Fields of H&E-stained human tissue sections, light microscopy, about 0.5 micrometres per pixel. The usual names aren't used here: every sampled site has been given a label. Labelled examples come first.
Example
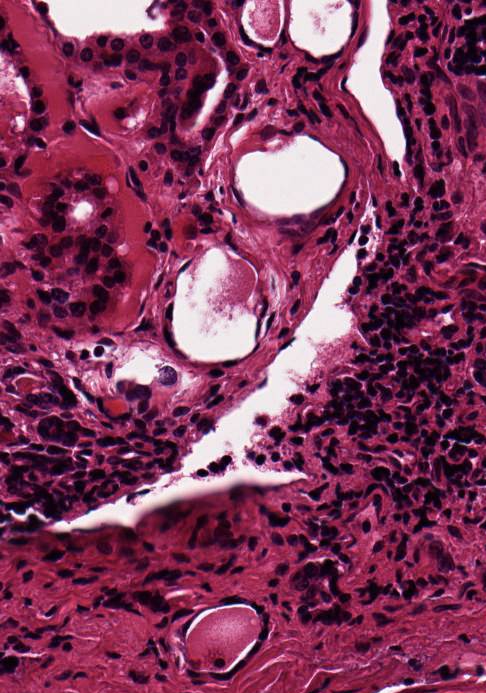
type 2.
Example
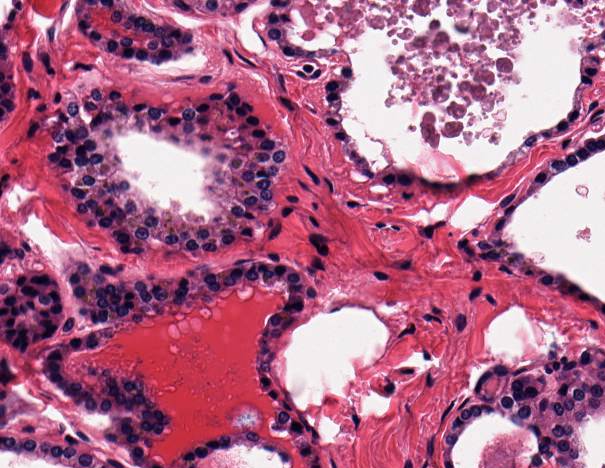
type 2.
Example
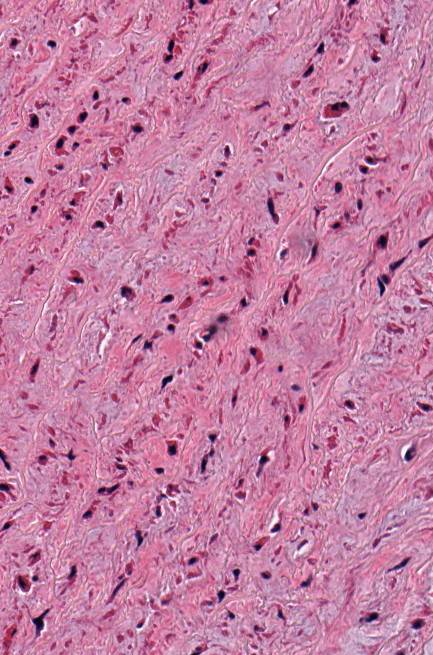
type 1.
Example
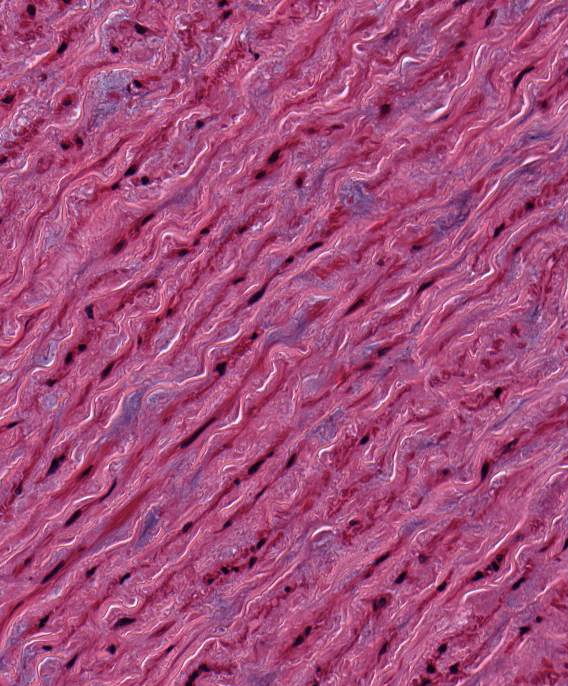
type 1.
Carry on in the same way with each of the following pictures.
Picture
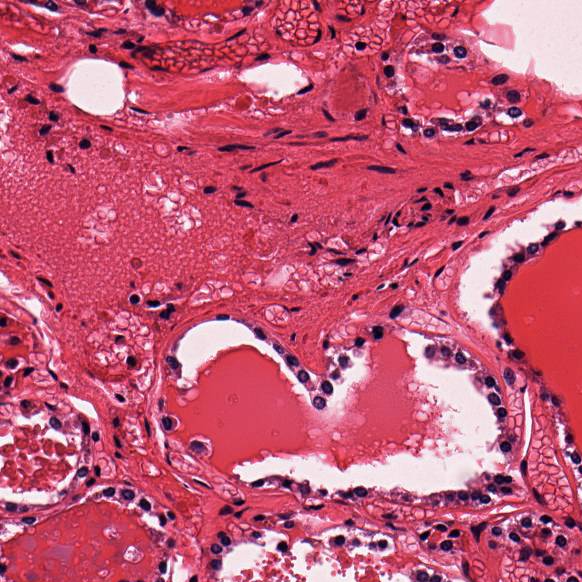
type 2.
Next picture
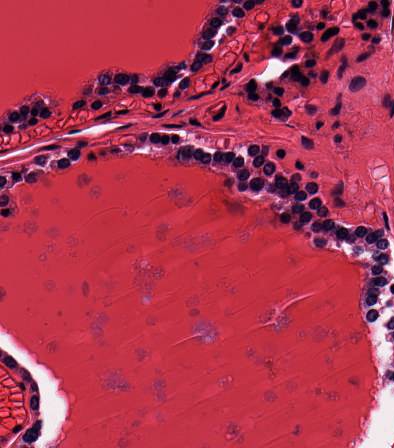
type 2.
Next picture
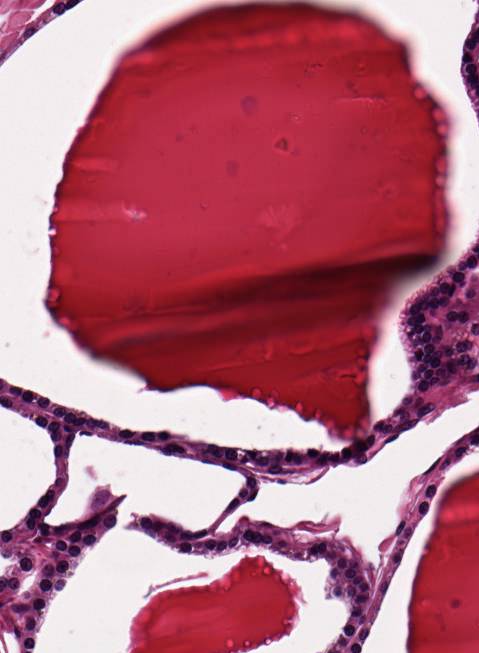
type 2.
